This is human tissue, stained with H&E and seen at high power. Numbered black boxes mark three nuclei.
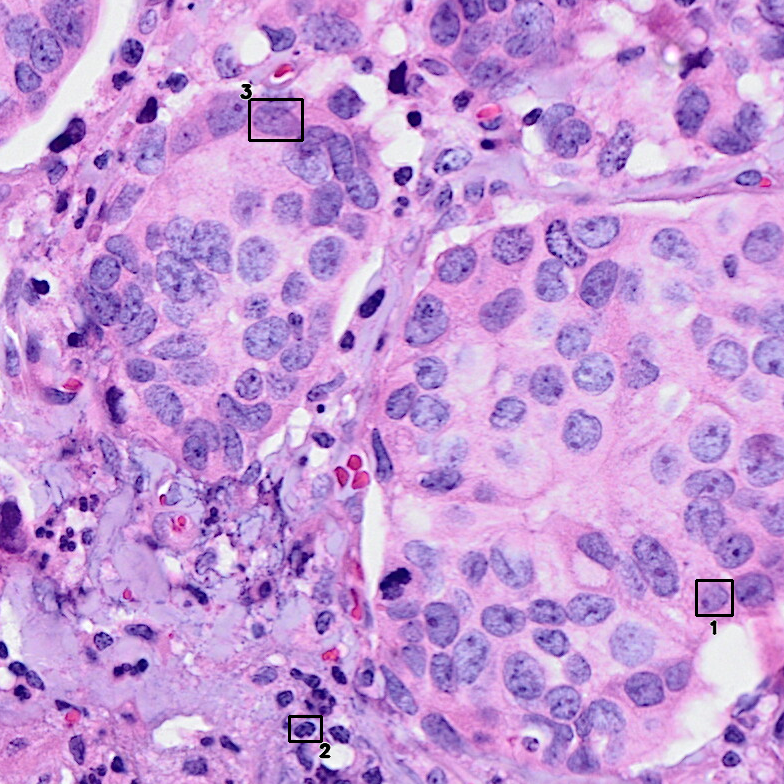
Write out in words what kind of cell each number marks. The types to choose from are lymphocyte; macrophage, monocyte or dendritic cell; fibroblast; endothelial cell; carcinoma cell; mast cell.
Cells 1 and 3 are carcinoma cells. Cell 2 is a lymphocyte.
